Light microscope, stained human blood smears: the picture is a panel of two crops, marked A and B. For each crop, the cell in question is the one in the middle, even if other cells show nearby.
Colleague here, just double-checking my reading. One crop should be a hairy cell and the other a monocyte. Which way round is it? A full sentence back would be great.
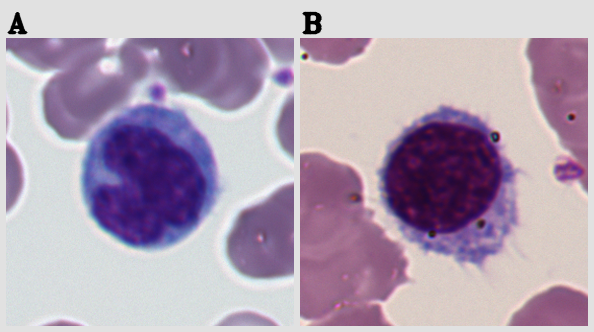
As for the pair, crop A is a monocyte and crop B is a hairy cell.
